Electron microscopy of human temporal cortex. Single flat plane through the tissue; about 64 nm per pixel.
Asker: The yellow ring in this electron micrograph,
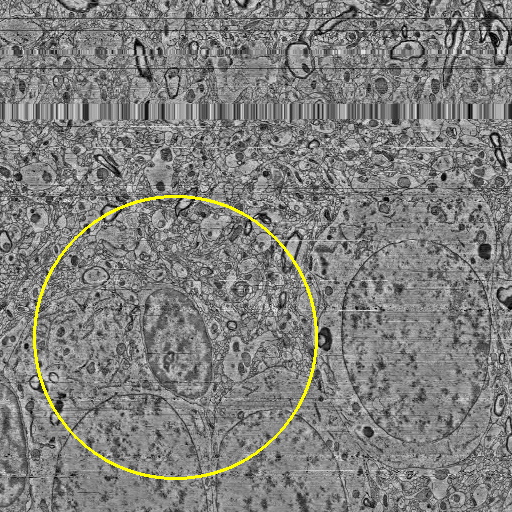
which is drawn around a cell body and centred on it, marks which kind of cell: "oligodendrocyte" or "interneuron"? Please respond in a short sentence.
The marked cell is an oligodendrocyte.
